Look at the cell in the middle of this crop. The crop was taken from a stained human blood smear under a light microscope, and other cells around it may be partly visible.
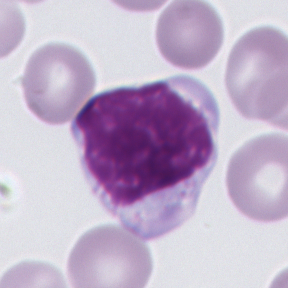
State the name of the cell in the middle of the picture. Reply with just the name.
large granular lymphocyte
